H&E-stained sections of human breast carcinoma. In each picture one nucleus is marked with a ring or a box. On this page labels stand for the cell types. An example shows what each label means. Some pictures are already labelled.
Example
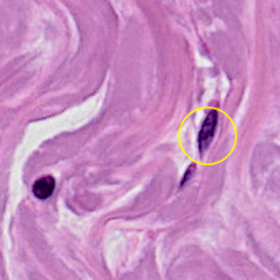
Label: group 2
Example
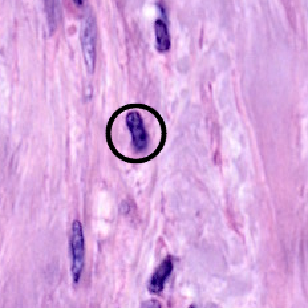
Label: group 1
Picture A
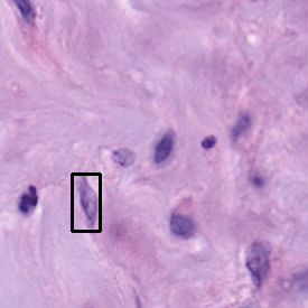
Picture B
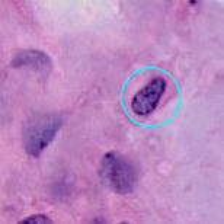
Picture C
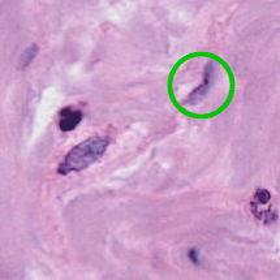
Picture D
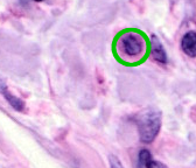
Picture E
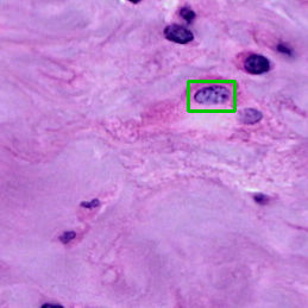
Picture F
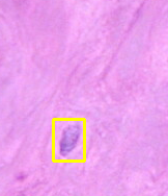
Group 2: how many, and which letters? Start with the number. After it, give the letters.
Count: 3 (A, C, F)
